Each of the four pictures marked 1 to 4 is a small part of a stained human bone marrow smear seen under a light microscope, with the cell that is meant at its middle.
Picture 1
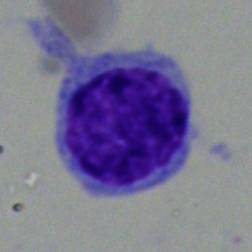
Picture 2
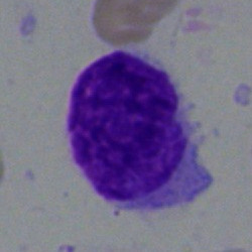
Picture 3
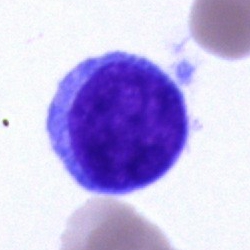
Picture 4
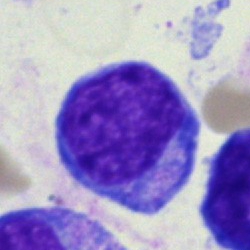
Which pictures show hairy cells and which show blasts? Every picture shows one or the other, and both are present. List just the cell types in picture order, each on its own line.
hairy cell
hairy cell
blast
blast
